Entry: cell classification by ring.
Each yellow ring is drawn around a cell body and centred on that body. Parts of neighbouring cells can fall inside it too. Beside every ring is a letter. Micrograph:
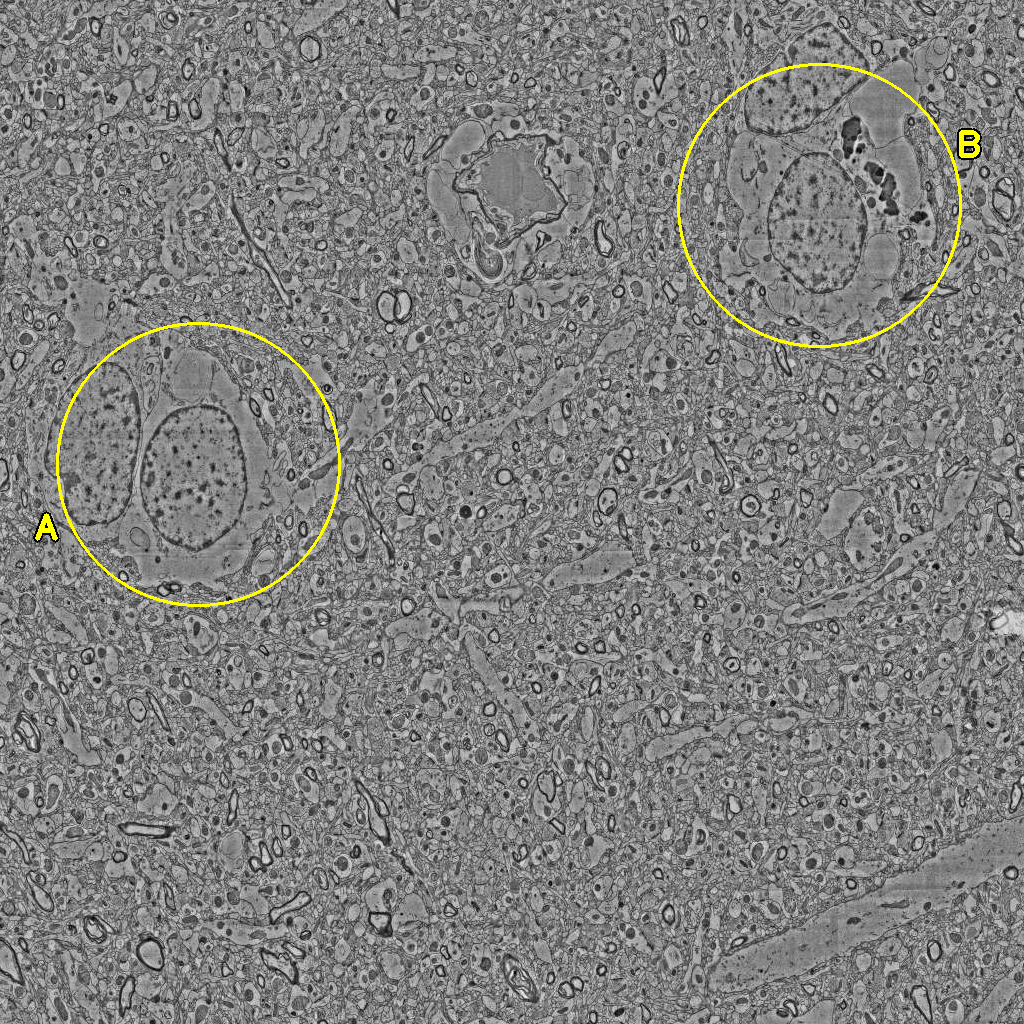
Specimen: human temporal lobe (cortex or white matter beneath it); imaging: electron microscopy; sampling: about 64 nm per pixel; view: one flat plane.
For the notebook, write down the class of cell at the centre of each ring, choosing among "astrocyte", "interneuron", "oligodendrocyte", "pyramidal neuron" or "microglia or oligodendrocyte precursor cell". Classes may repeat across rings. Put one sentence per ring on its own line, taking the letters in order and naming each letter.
Ring A marks an astrocyte.
Ring B marks an astrocyte.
